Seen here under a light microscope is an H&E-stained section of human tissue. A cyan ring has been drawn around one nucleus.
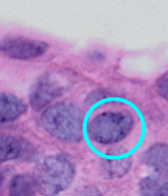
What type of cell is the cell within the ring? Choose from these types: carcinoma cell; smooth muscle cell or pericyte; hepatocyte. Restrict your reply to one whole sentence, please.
The category to which the cell within the ring belongs is that of a carcinoma cell.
